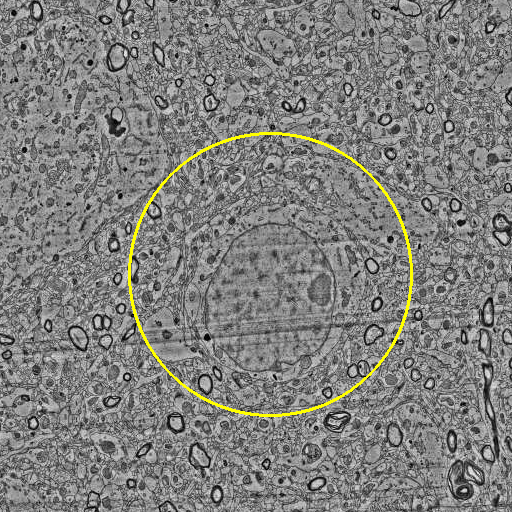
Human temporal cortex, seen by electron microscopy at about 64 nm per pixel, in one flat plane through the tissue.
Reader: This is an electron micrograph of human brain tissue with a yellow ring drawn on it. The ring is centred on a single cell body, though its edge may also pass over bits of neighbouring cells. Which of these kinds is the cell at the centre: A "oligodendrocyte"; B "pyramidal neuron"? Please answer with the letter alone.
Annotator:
B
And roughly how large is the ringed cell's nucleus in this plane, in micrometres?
The ringed cell's nucleus measures approximately 10 by 8 micrometres in this plane.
